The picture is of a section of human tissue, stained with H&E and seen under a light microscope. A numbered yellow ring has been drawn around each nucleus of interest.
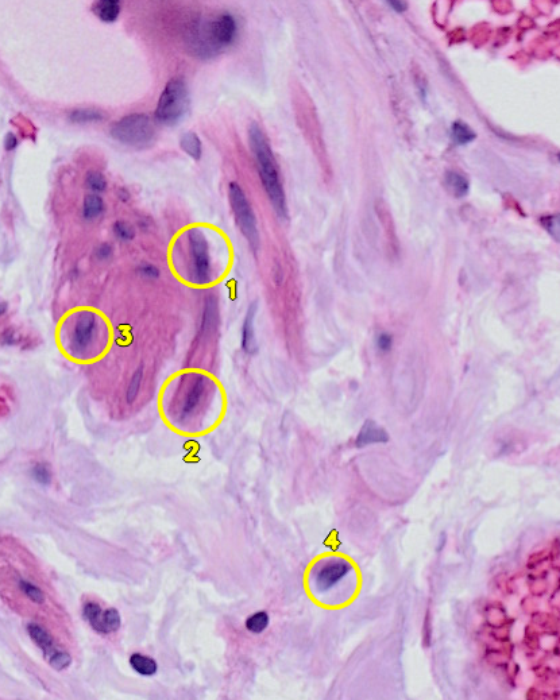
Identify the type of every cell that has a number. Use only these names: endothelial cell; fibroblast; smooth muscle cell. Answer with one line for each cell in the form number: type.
1: smooth muscle cell
2: smooth muscle cell
3: smooth muscle cell
4: fibroblast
